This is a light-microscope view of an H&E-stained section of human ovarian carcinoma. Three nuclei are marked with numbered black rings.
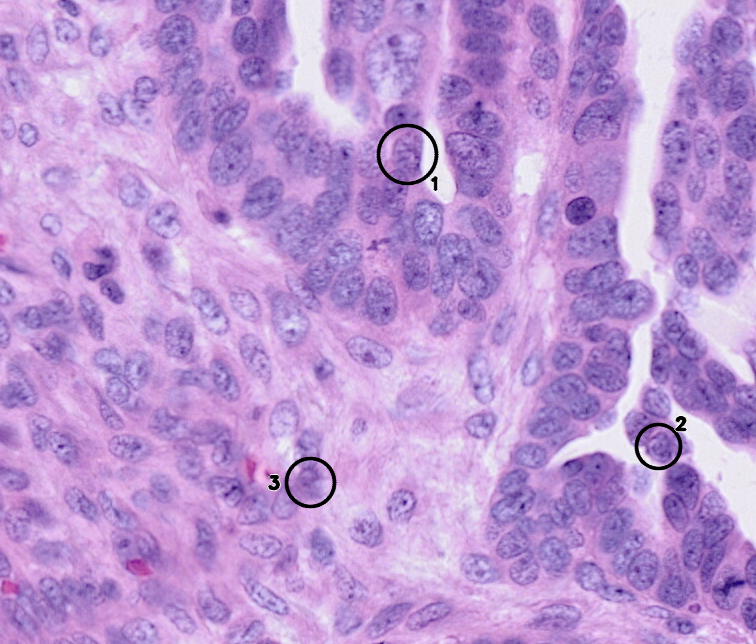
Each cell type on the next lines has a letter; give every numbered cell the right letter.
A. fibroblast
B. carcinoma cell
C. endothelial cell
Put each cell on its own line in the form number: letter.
1: B
2: B
3: A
